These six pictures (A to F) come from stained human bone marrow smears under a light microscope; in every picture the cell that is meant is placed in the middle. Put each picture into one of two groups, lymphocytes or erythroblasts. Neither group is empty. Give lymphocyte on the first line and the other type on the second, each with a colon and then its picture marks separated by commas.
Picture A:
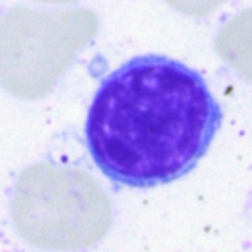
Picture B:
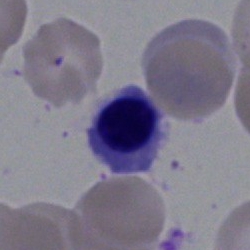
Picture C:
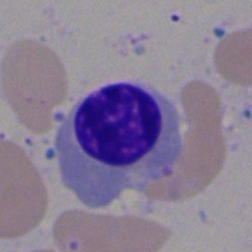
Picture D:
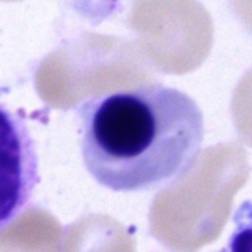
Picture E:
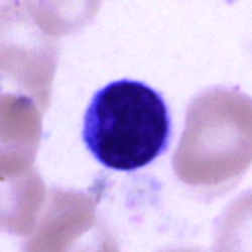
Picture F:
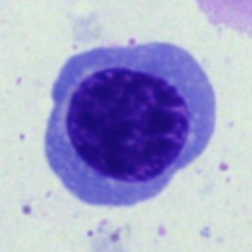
lymphocyte: A, E
erythroblast: B, C, D, F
